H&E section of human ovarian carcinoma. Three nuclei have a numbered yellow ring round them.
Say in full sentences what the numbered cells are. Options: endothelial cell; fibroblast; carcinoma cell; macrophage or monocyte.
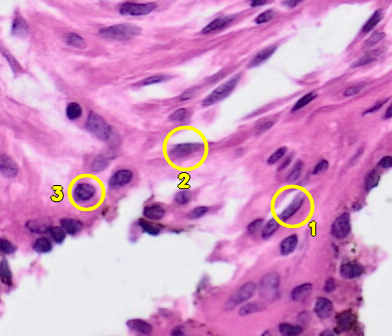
Cell 1 is an endothelial cell. Cell 2 is a fibroblast. Cell 3 is a macrophage or monocyte.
